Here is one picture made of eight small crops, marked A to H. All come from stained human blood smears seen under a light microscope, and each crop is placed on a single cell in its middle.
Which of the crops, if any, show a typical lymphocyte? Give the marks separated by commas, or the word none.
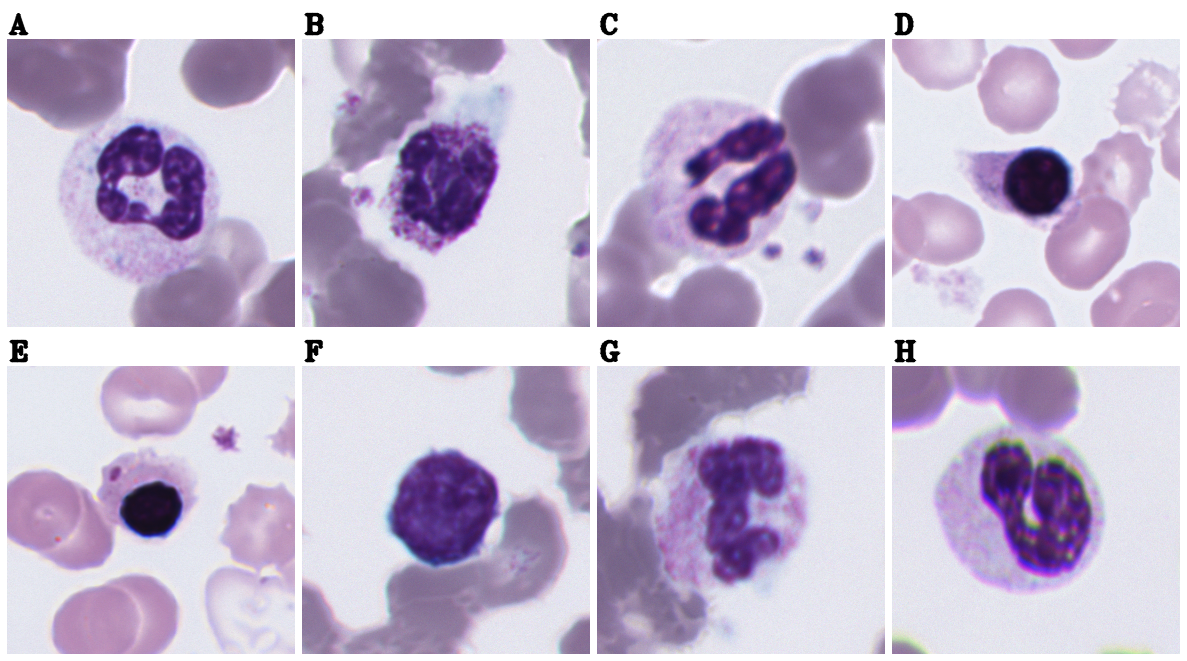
F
